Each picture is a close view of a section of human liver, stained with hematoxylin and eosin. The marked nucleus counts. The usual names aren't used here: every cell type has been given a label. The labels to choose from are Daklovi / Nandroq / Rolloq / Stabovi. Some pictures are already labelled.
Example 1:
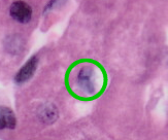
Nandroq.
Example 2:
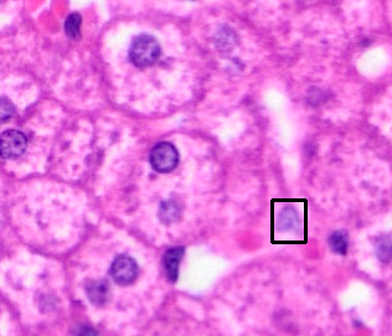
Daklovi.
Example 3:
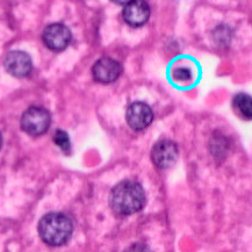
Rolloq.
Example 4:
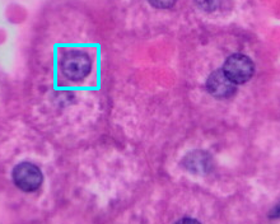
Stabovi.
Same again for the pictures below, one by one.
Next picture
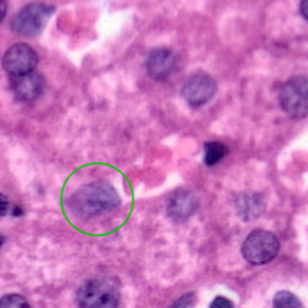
Nandroq.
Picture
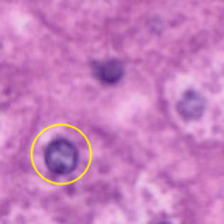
Stabovi.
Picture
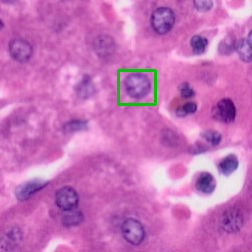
Stabovi.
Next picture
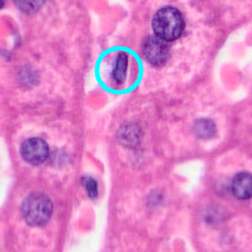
Daklovi.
